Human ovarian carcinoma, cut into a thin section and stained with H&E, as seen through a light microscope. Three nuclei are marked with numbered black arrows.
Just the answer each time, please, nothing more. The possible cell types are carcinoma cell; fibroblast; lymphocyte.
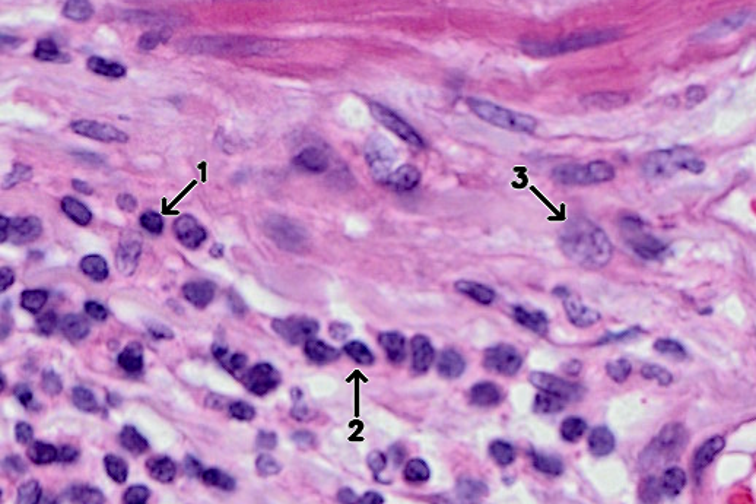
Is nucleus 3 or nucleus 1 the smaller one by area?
1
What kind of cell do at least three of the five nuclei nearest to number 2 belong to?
lymphocyte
